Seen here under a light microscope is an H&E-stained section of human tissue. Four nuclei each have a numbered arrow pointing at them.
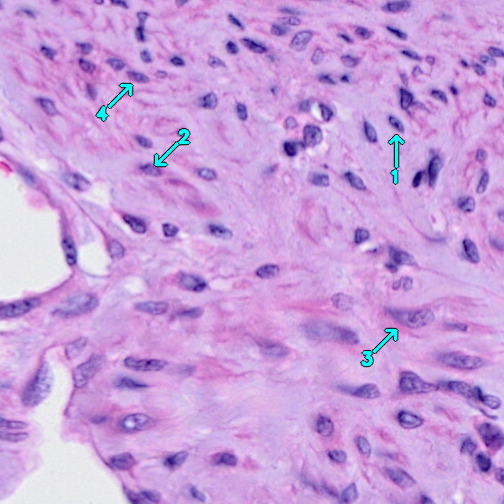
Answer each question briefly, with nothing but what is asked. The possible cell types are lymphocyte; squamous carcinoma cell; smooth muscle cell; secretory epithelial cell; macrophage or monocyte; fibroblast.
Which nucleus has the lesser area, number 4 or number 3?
4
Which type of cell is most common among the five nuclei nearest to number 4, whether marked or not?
smooth muscle cell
